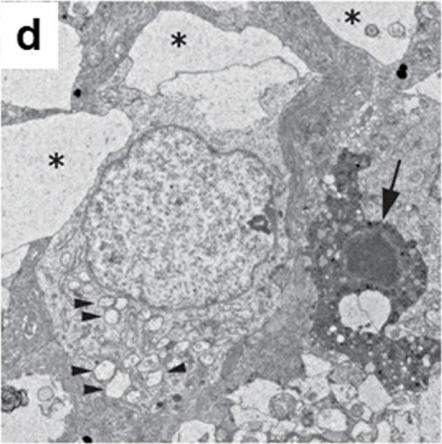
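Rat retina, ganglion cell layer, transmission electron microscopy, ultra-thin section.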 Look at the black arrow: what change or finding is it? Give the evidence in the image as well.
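An electron-dense, shrunken cell with a dark condensed nucleus. Its cytoplasm holds clear vacuoles. That points to this answer: pyknotic nucleus.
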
